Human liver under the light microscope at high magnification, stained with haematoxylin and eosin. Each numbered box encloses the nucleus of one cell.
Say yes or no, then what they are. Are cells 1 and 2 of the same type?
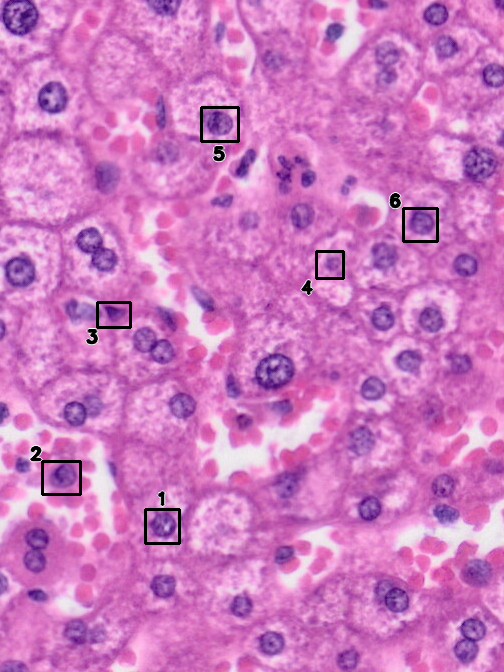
No, in this section cell 1 is a hepatocyte and cell 2 is a Kupffer cell.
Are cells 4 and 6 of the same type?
Yes, hepatocytes are what cells 4 and 6 both are.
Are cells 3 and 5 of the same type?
No, the cell bearing number 3 is a fibroblast or stellate cell, while the one bearing number 5 is a hepatocyte.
